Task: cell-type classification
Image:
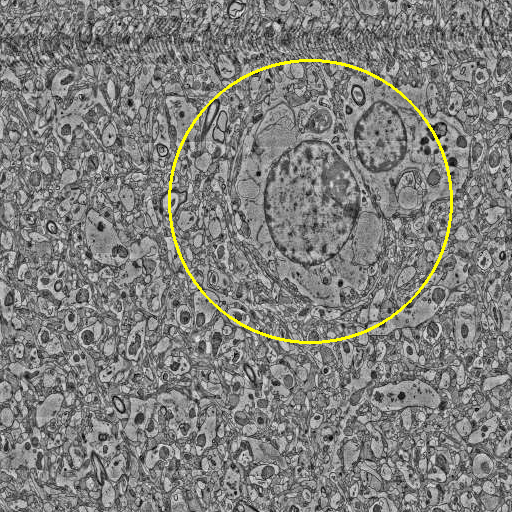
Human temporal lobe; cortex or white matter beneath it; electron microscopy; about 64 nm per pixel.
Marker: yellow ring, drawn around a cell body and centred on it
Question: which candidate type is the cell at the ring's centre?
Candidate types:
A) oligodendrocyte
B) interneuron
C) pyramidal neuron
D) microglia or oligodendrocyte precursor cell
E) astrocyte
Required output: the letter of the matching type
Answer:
E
